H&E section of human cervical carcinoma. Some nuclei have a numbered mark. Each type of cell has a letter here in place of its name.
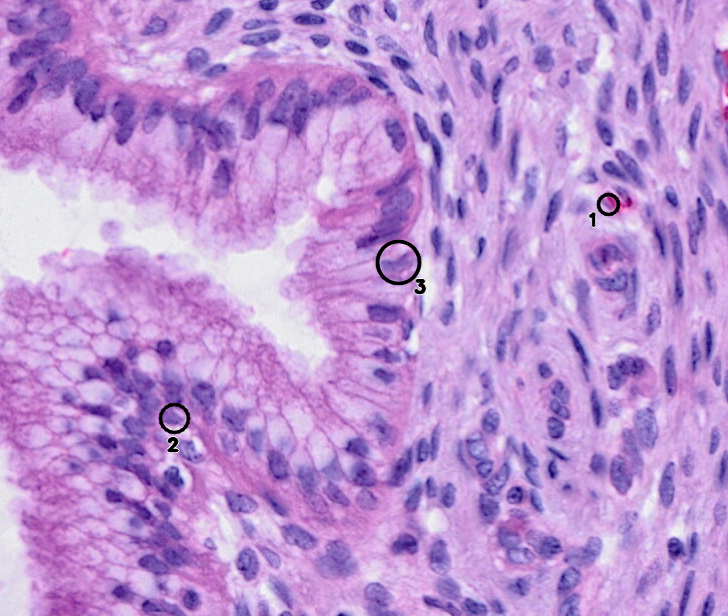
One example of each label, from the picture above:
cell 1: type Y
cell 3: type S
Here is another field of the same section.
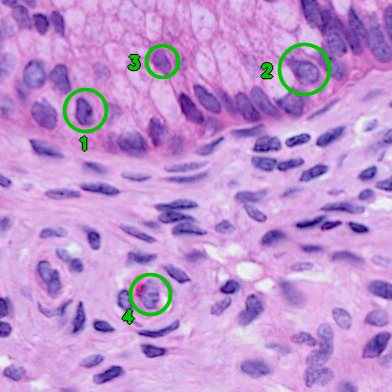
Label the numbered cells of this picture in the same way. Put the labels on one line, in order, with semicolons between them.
type S; type S; type S; type Y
